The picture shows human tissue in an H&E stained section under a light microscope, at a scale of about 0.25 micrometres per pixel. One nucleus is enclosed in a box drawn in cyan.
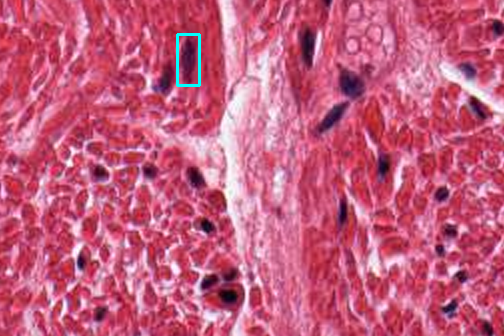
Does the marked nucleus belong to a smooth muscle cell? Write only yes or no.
yes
